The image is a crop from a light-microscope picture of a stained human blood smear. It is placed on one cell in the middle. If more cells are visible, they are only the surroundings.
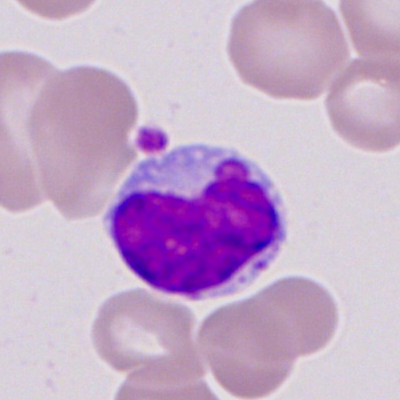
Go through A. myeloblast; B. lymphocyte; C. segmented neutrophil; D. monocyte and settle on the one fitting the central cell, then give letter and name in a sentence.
Option B correctly states that the central cell is a lymphocyte.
